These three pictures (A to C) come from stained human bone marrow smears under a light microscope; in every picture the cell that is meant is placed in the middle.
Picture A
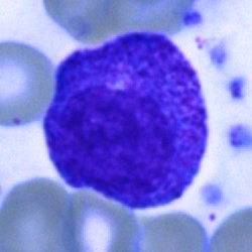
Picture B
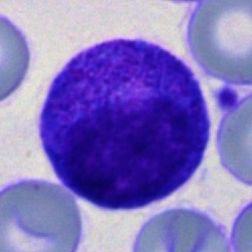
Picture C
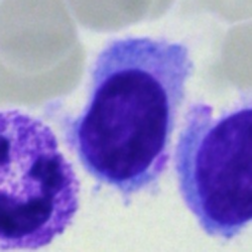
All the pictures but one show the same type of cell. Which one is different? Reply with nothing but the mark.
C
